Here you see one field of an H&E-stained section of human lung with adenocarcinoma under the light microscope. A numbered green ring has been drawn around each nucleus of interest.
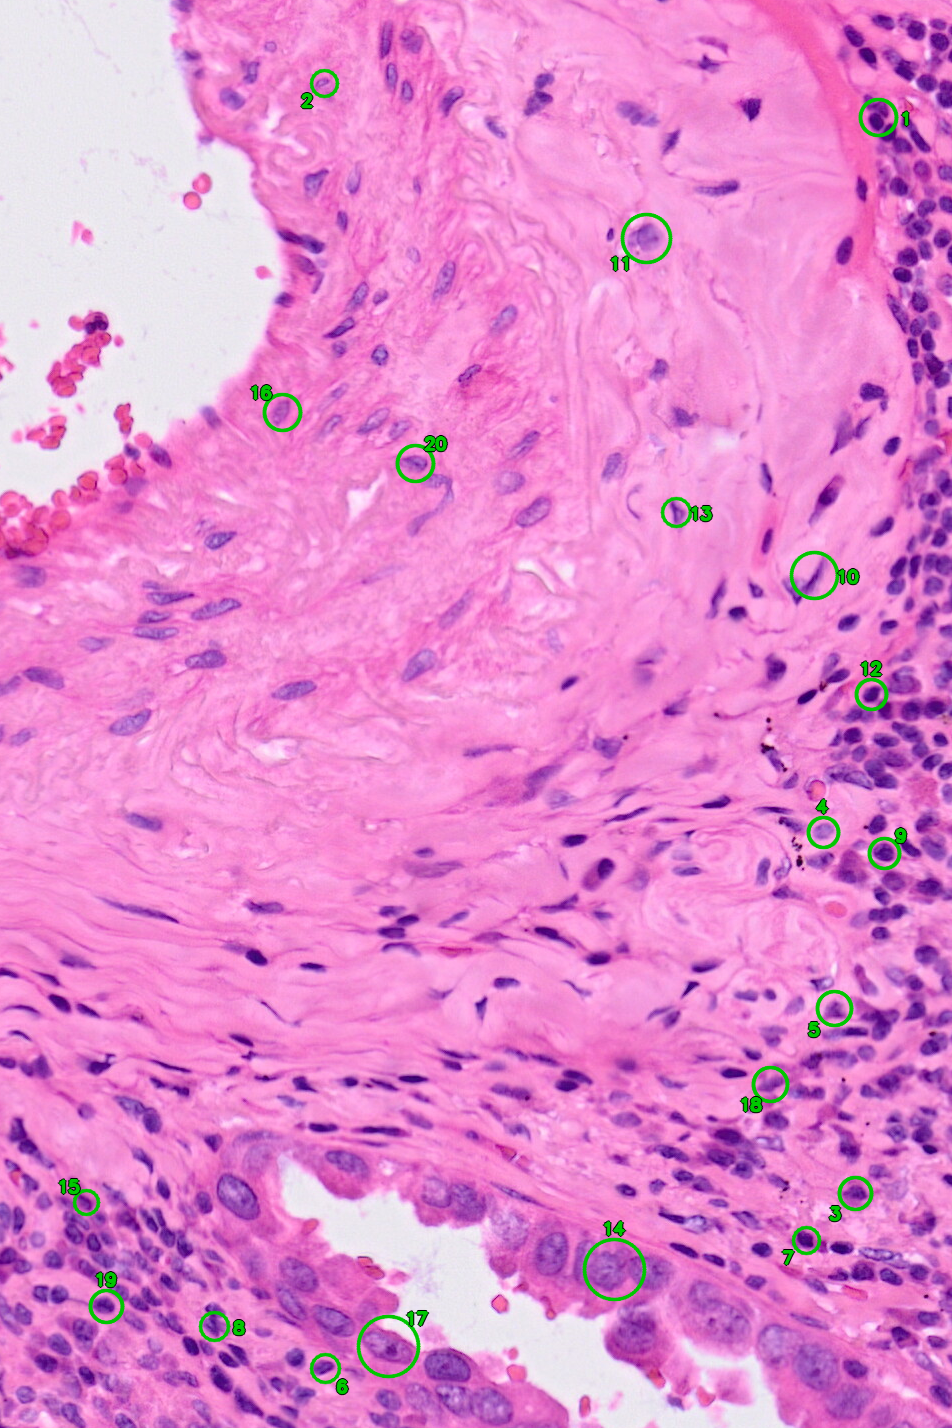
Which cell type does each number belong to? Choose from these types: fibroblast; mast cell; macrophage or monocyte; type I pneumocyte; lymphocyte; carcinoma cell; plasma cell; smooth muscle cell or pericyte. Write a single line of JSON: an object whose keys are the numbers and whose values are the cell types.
{"1": "lymphocyte", "2": "smooth muscle cell or pericyte", "3": "plasma cell", "4": "mast cell", "5": "plasma cell", "6": "lymphocyte", "7": "plasma cell", "8": "lymphocyte", "9": "lymphocyte", "10": "fibroblast", "11": "fibroblast", "12": "lymphocyte", "13": "fibroblast", "14": "carcinoma cell", "15": "plasma cell", "16": "smooth muscle cell or pericyte", "17": "carcinoma cell", "18": "plasma cell", "19": "lymphocyte", "20": "smooth muscle cell or pericyte"}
